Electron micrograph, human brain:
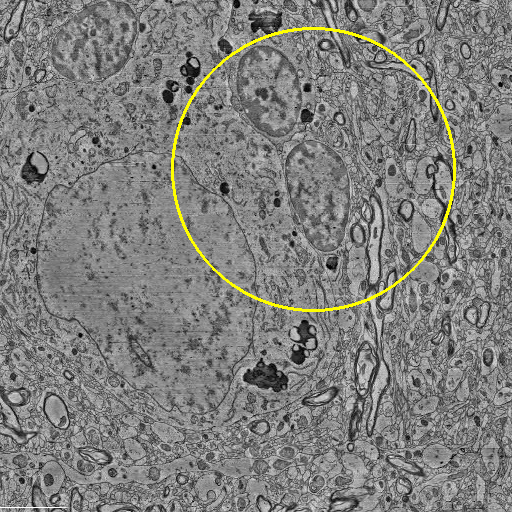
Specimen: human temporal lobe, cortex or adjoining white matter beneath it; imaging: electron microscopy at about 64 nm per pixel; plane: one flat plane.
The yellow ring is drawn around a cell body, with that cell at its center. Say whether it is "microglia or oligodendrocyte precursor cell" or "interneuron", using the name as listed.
microglia or oligodendrocyte precursor cell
